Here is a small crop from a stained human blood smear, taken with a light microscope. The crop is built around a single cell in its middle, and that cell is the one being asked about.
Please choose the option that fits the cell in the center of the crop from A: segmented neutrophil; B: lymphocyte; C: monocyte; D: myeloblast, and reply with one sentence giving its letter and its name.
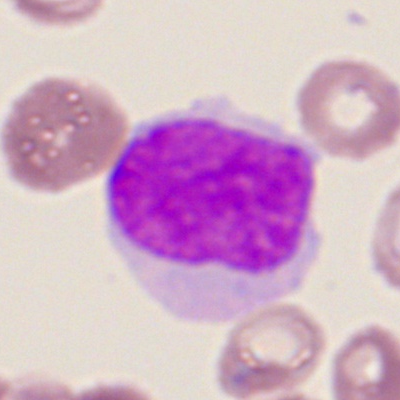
The cell placed in the middle is a monocyte; option C is correct.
